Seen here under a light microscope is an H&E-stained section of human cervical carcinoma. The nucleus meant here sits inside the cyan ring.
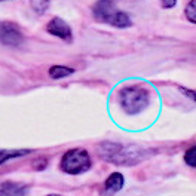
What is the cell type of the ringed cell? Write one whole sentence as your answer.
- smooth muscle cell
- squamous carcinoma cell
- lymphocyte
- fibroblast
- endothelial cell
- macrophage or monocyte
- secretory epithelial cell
The identity of the ringed cell: it is a lymphocyte.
